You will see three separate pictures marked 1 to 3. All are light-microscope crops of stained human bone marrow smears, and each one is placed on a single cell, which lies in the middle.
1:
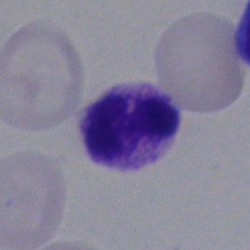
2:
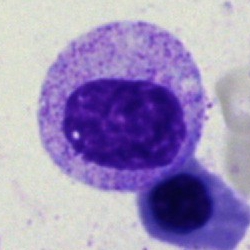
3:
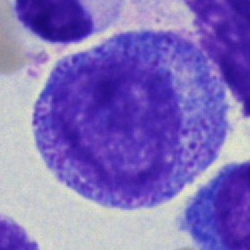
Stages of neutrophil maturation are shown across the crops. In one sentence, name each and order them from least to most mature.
By stage of maturation, from earliest to latest, the order is crop 3 (a promyelocyte), crop 2 (a myelocyte) and crop 1 (a segmented neutrophil).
